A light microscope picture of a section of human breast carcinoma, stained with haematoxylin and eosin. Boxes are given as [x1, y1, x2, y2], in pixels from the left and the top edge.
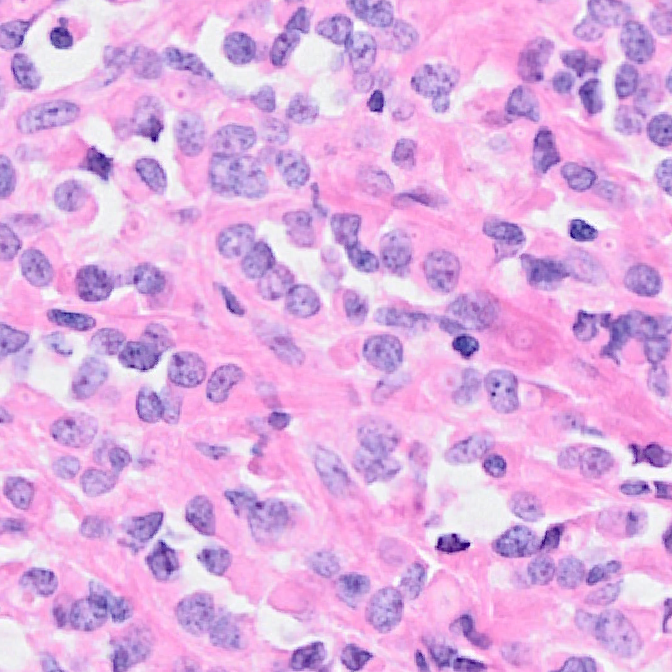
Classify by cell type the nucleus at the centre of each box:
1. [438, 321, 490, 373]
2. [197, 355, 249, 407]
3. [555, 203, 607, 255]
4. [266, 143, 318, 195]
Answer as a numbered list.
1. lymphocyte
2. carcinoma cell
3. lymphocyte
4. carcinoma cell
